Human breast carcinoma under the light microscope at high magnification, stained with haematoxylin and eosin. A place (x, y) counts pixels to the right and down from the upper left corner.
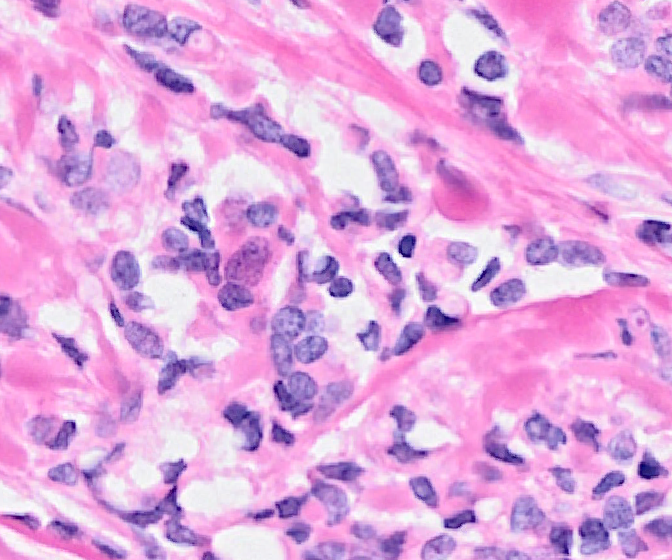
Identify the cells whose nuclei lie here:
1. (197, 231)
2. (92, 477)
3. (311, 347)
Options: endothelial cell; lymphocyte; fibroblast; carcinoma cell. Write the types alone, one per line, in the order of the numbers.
carcinoma cell
endothelial cell
carcinoma cell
